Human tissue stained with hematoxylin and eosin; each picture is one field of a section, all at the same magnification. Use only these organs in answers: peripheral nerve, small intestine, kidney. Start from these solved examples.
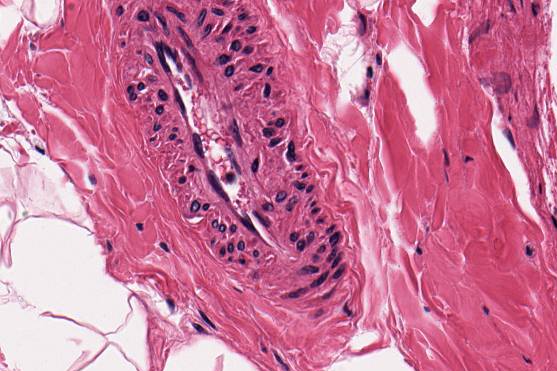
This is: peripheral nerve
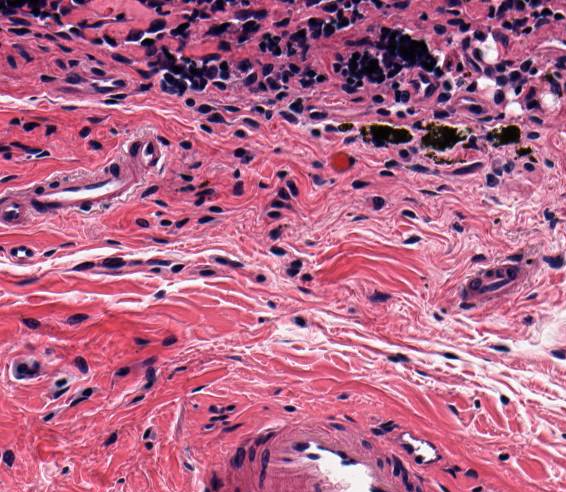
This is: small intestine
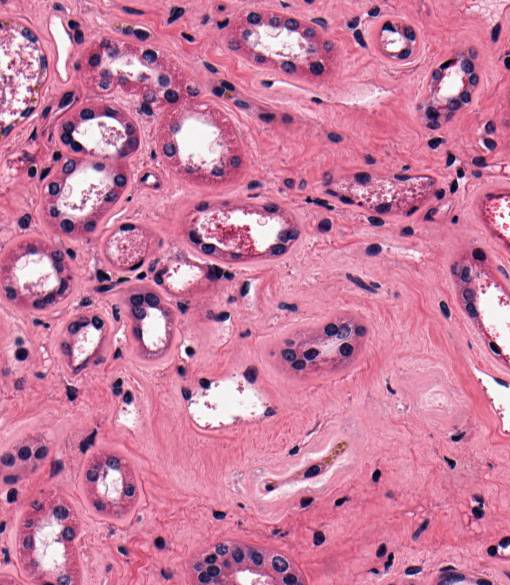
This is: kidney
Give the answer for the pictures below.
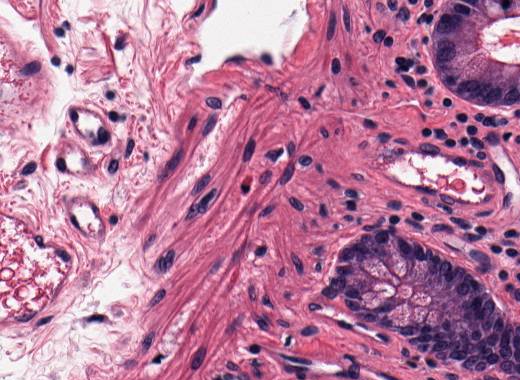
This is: small intestine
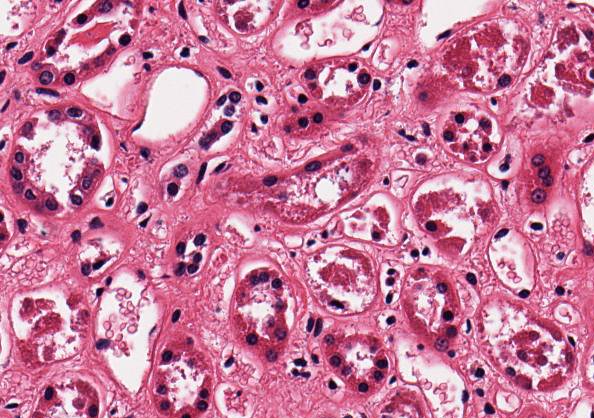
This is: kidney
